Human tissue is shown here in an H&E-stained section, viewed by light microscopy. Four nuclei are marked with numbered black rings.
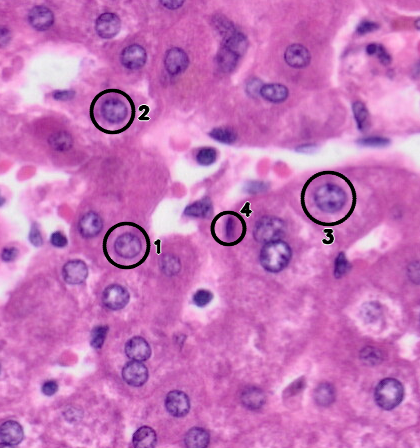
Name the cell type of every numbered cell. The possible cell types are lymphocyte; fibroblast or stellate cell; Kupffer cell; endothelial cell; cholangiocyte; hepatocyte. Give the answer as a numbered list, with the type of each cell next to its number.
1. hepatocyte
2. hepatocyte
3. hepatocyte
4. fibroblast or stellate cell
